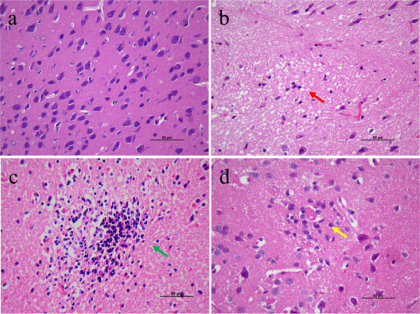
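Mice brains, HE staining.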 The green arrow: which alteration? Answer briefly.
Glial nodules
